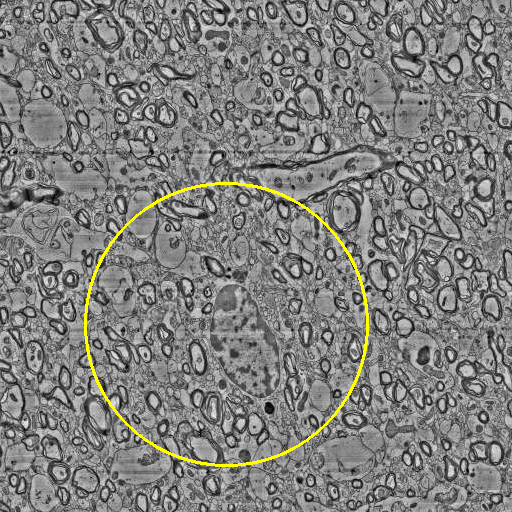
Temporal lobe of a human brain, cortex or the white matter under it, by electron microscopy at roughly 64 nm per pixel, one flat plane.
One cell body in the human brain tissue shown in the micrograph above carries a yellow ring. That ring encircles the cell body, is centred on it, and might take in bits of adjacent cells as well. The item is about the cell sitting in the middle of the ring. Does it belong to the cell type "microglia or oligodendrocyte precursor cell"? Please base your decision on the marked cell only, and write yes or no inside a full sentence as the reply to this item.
Yes, the cell at the middle of the ring in the micrograph is of this kind.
